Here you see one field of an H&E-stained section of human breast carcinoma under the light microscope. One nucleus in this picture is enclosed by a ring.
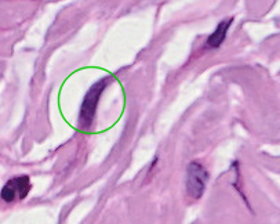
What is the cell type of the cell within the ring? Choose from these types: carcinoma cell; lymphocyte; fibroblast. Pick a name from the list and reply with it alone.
fibroblast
